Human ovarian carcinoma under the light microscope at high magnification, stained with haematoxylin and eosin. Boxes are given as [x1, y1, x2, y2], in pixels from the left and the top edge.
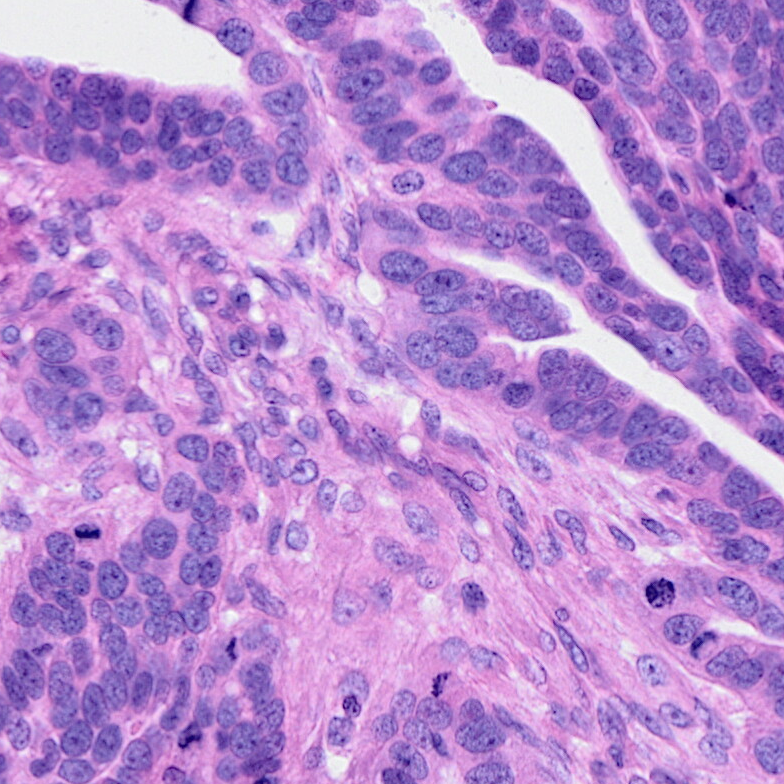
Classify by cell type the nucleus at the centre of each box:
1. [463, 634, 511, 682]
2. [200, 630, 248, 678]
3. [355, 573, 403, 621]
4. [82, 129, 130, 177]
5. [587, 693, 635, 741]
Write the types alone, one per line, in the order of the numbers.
fibroblast
carcinoma cell
fibroblast
carcinoma cell
fibroblast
